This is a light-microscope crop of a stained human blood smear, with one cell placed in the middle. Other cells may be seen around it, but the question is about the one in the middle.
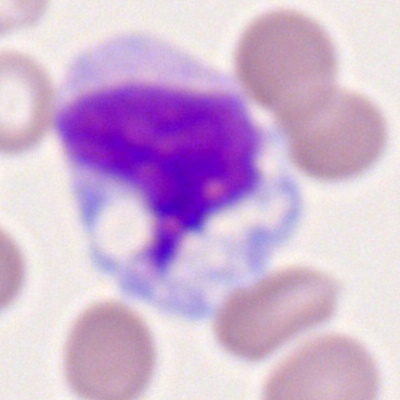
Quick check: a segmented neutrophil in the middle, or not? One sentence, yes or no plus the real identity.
No, the central cell is reported as a monocyte rather than as a segmented neutrophil.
